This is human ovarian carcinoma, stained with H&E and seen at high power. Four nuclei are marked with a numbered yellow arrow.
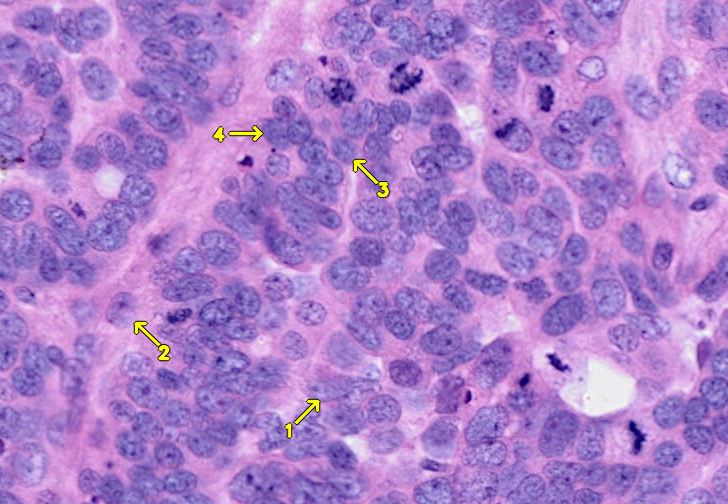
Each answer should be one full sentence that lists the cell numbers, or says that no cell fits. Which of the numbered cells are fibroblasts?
Only the cell marked 2 is a fibroblast.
